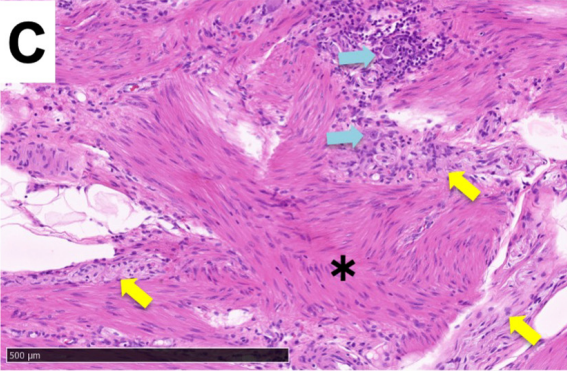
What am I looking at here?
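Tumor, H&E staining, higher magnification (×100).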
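Between bundles run thinner strands of paler wavy tissue with slender nuclei, taken as nerve fibres. Here and there are small clusters of densely packed cells with dark round nuclei lying between the muscle bundles. At the left edge a few empty fat cells are seen.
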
